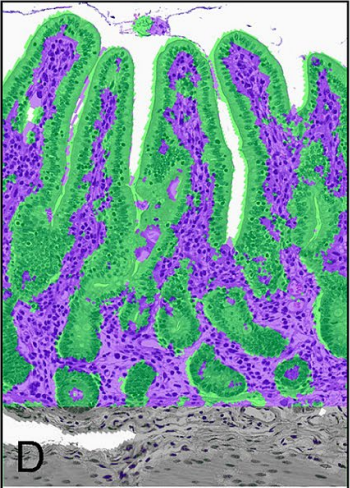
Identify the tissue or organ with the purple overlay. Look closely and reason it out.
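The purple overlay fills the cores of the villi. The purple overlay lies between the crypts, around scattered cells. The answer: lamina propria.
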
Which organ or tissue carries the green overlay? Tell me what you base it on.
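The green overlay follows the cell layer lining the surface of the villi. The green overlay also fills the rings of the crypts. That points to this answer: epithelium.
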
